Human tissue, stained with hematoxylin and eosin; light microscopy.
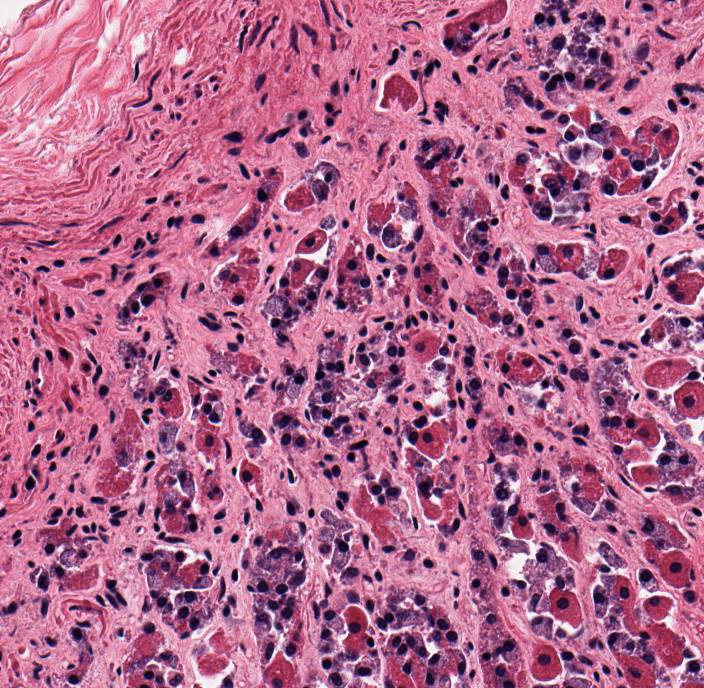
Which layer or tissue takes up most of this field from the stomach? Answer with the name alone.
fundic glands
